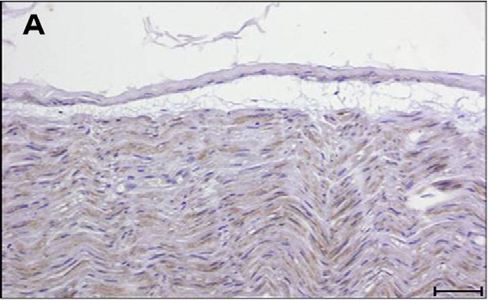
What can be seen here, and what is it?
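Peripheral nerve fascicle at low magnification, with a thin sheath-like layer along its upper edge separated by a narrow cleft from the fibre bundle. The fibres run in tightly packed, wavy, undulating rows, in places forming zig-zag or chevron patterns. Many elongated blue nuclei lie between the fibres, aligned with them. Light brown stain is spread along the fibres through much of the bundle, more intense in some streaks, while the covering layer above remains mostly pale. A few small clear spaces are scattered within the fascicle.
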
